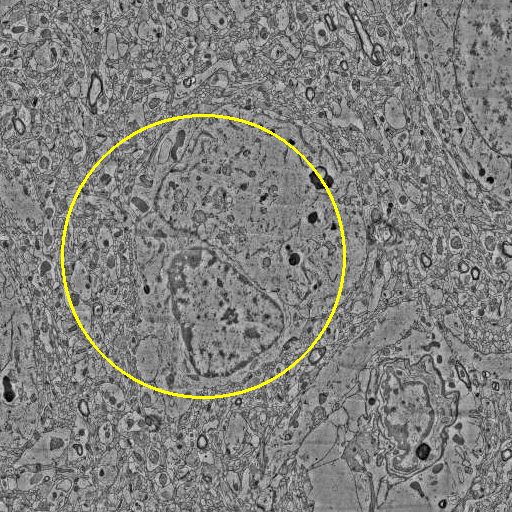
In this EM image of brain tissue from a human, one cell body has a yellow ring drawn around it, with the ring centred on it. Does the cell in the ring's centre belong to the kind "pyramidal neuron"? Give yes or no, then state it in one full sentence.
No, in the picture, the cell centred in the yellow ring belongs to another kind.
